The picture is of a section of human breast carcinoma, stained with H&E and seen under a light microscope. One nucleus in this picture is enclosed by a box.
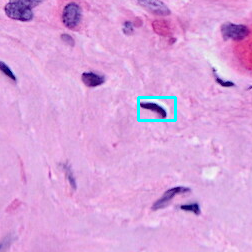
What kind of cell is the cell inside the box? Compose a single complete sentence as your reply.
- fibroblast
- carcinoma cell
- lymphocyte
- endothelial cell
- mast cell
The classification of the cell inside the box is as a fibroblast.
